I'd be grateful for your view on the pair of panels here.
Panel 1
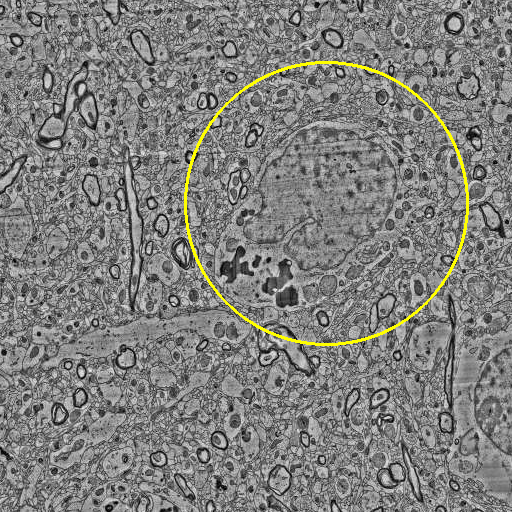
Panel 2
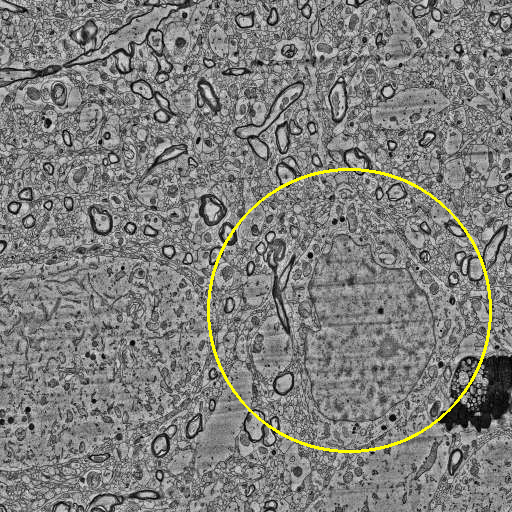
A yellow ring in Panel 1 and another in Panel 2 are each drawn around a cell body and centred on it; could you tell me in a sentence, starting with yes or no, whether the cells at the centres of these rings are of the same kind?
Yes, they are the same kind of cell.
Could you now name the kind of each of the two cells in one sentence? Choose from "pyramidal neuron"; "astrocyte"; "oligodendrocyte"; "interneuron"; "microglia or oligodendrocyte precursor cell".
The first and the second cell are each an interneuron.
